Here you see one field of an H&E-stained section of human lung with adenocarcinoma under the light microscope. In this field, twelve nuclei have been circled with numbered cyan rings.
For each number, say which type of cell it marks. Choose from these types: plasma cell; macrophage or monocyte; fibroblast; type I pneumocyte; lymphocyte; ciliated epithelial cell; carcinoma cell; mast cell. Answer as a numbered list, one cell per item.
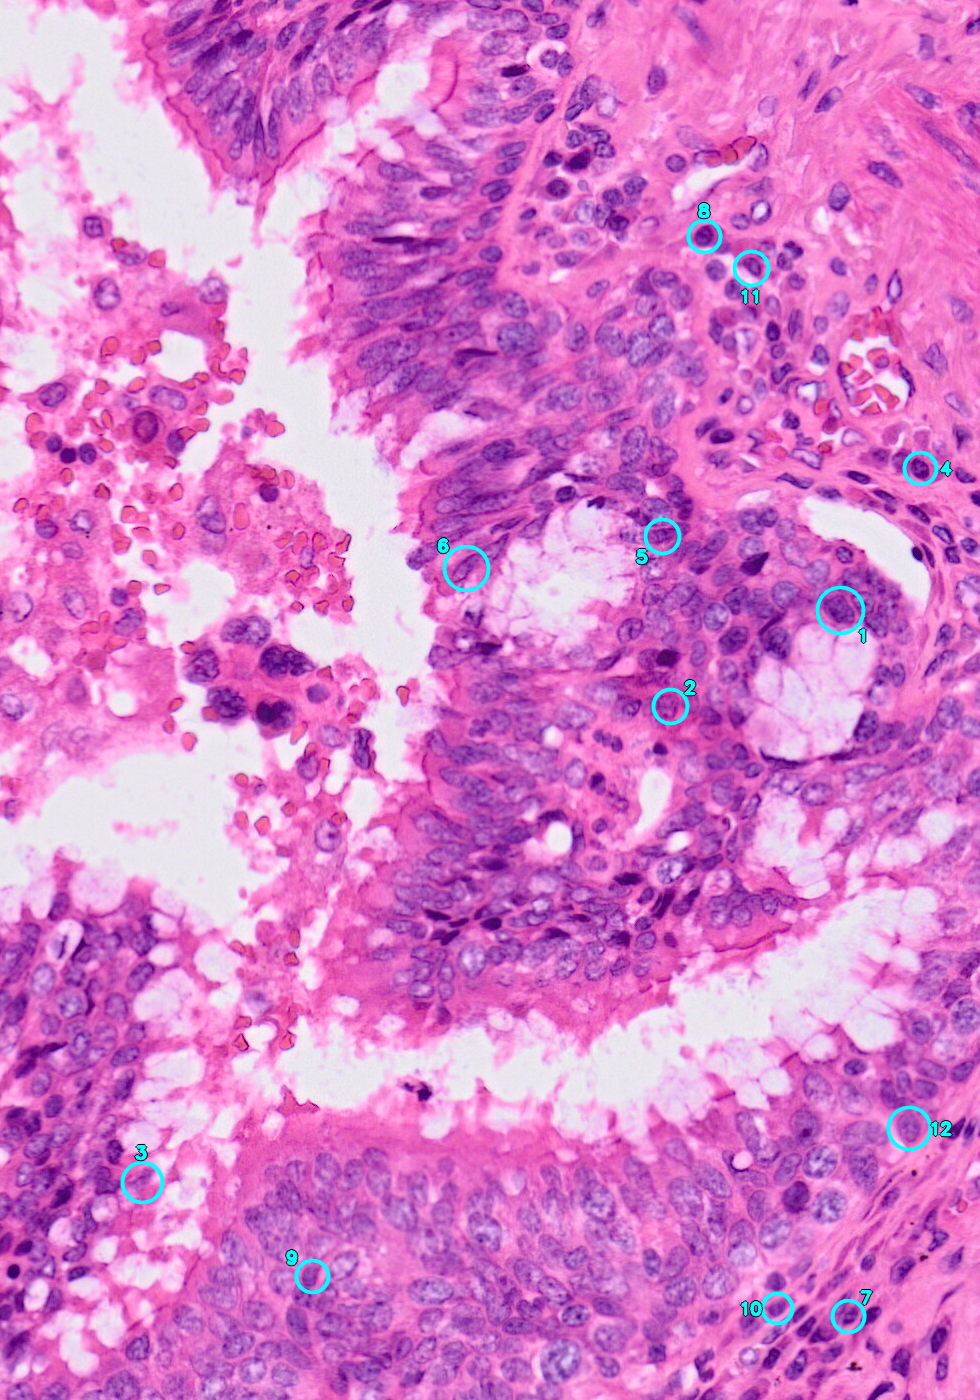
1. ciliated epithelial cell
2. ciliated epithelial cell
3. ciliated epithelial cell
4. plasma cell
5. ciliated epithelial cell
6. ciliated epithelial cell
7. plasma cell
8. plasma cell
9. ciliated epithelial cell
10. plasma cell
11. plasma cell
12. ciliated epithelial cell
